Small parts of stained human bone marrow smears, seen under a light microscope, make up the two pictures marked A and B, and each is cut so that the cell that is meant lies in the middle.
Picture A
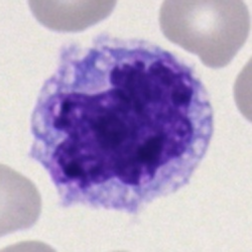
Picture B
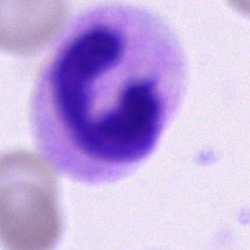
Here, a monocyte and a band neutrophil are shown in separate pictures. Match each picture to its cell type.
A: monocyte
B: band neutrophil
